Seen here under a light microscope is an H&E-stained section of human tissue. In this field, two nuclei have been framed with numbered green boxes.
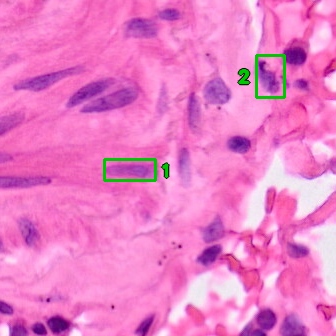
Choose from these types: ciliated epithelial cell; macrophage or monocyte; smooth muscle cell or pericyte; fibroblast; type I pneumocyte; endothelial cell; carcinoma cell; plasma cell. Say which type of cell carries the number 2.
fibroblast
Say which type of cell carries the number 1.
smooth muscle cell or pericyte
